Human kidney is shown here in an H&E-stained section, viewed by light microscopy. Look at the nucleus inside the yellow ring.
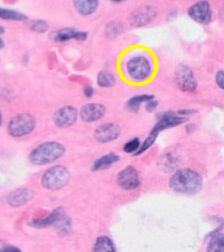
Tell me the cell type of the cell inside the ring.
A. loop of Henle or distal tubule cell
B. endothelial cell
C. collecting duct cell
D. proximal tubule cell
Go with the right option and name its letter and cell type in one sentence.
In short, option A: the cell inside the ring is a loop of Henle or distal tubule cell.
